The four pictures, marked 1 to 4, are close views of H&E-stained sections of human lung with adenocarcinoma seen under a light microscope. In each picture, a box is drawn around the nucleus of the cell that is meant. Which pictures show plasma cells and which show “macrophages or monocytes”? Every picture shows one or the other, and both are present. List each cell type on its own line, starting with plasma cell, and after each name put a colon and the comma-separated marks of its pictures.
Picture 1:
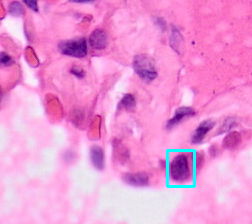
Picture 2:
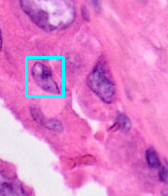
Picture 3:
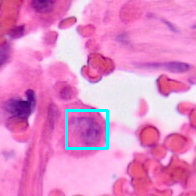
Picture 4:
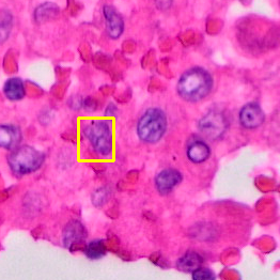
plasma cell: 1
macrophage or monocyte: 2, 3, 4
